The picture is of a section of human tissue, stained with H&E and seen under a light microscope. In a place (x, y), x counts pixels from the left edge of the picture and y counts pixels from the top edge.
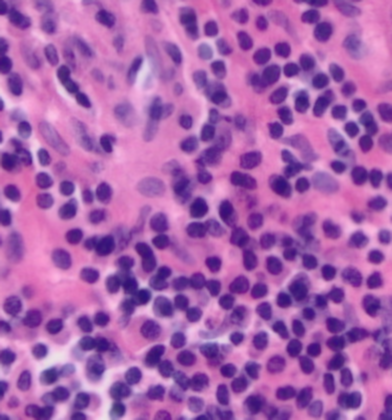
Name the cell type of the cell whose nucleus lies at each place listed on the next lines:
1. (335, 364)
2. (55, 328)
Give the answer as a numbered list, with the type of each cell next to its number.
1. small lymphocyte
2. plasma cell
